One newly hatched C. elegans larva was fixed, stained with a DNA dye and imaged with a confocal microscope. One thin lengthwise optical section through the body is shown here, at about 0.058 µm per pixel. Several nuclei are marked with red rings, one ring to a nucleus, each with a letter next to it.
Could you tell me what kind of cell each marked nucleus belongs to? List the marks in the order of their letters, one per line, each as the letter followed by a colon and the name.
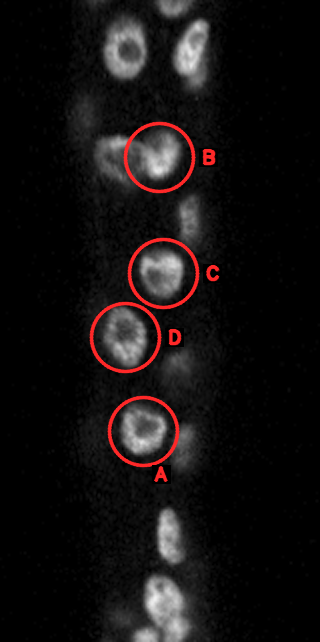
A: seam cell
B: Q neuroblast
C: seam cell
D: hypodermal cell (hyp)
